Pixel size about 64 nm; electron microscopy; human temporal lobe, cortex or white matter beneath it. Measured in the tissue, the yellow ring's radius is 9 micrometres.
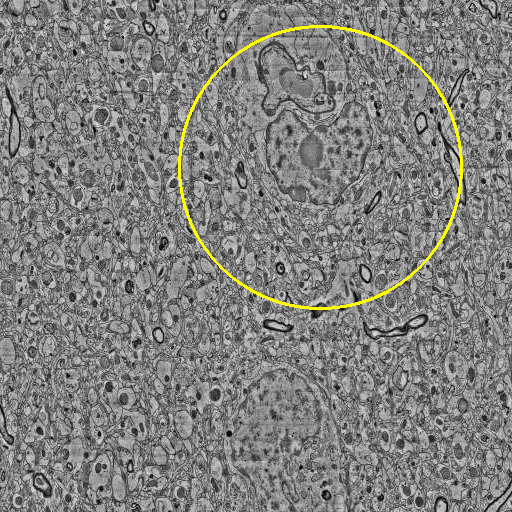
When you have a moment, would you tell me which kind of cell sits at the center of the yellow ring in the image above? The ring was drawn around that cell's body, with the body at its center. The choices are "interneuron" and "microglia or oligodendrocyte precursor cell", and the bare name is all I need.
microglia or oligodendrocyte precursor cell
